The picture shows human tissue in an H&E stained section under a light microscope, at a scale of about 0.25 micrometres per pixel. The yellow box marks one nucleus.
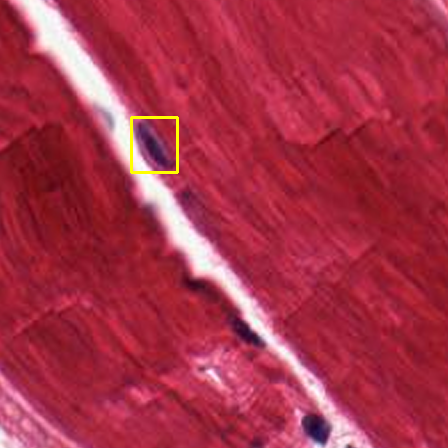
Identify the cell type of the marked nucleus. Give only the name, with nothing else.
skeletal muscle fibre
